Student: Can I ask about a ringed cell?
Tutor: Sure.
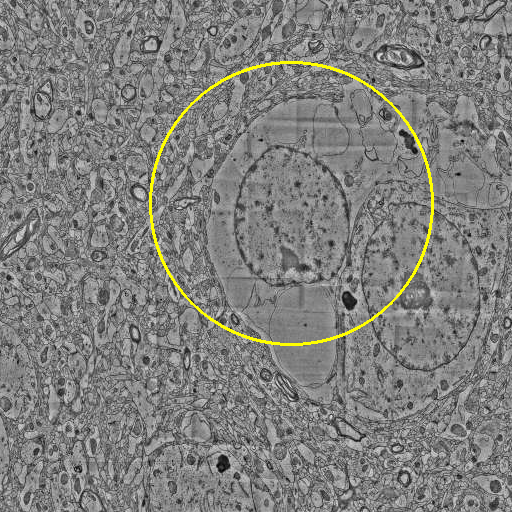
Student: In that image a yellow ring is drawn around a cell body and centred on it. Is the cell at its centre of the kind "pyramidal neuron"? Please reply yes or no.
No, the cell is of another kind.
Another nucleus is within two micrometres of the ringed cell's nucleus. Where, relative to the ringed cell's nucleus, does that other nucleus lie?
The other nucleus can be seen to the lower right of it.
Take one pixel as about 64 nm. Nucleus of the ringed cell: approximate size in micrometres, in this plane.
Roughly 9 micrometres by 8 micrometres, in this plane.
